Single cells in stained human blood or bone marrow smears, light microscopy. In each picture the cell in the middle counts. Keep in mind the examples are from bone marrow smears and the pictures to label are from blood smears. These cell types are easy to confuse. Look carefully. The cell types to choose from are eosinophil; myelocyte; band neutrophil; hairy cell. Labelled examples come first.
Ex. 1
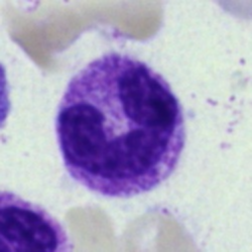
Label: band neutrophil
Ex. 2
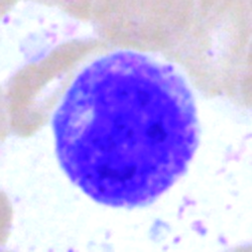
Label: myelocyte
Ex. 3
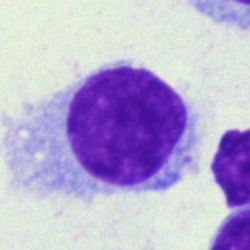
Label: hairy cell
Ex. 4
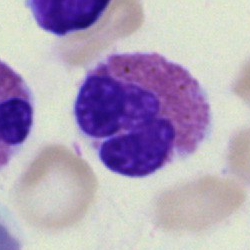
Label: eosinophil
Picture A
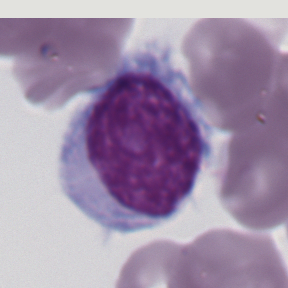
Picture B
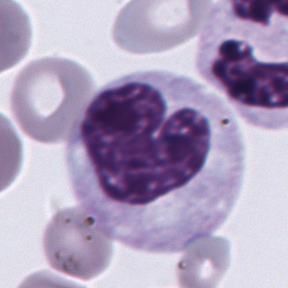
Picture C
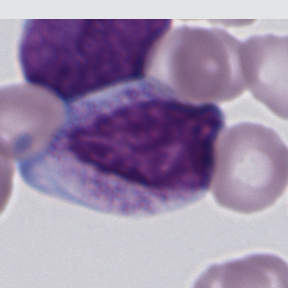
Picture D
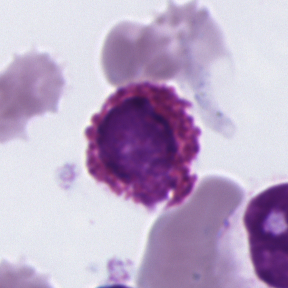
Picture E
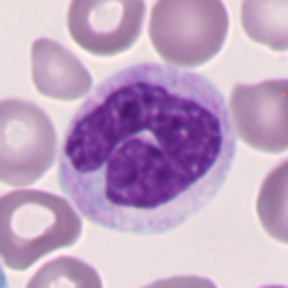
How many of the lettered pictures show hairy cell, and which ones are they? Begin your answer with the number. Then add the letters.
1, namely A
